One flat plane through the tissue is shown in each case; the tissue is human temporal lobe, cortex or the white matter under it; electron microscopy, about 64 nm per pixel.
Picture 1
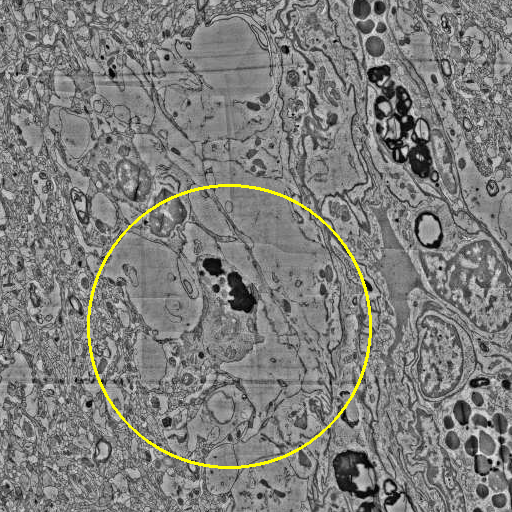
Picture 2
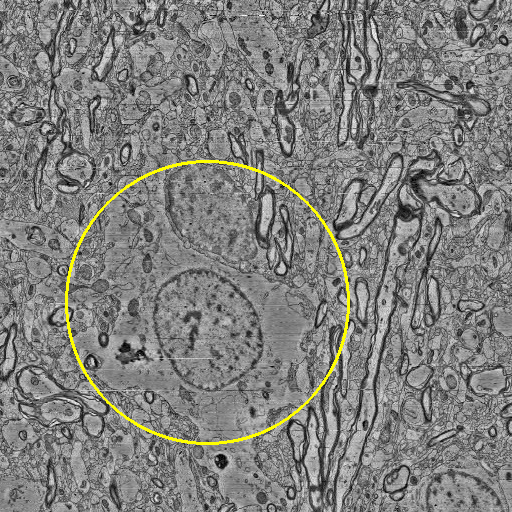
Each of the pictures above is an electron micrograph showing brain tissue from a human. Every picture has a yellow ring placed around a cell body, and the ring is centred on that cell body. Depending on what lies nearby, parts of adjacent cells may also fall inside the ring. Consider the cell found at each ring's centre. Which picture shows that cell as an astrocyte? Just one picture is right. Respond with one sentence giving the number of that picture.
The picture showing the wanted cell at the ring's centre is number 2.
